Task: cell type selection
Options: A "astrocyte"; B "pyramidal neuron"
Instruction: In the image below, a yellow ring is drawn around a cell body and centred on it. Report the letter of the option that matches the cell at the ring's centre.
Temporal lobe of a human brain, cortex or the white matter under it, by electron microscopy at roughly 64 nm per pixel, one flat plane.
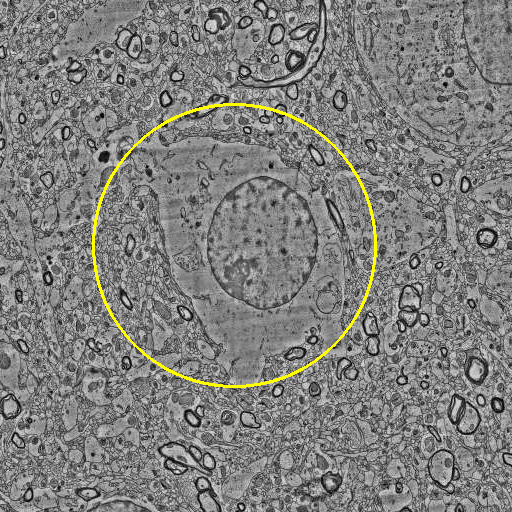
A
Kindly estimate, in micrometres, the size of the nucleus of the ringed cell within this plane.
Roughly 8 by 7 micrometres in this plane, for the nucleus of the ringed cell.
